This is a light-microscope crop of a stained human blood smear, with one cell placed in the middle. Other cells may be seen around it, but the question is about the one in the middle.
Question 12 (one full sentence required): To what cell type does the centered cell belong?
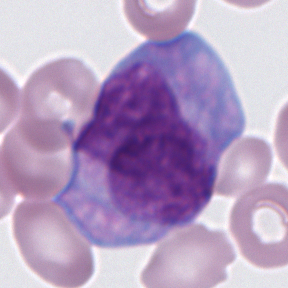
Classification of the middle cell gives an atypical promyelocyte.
